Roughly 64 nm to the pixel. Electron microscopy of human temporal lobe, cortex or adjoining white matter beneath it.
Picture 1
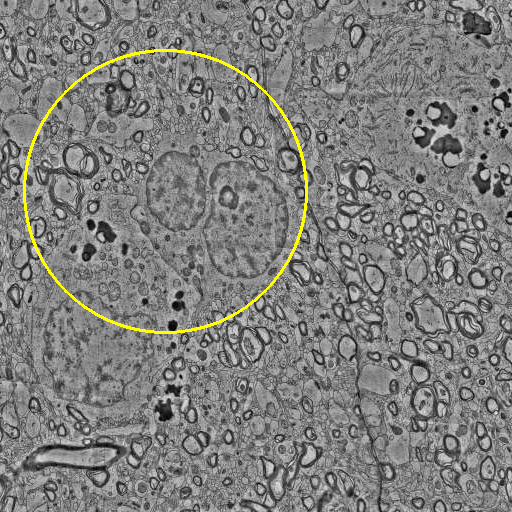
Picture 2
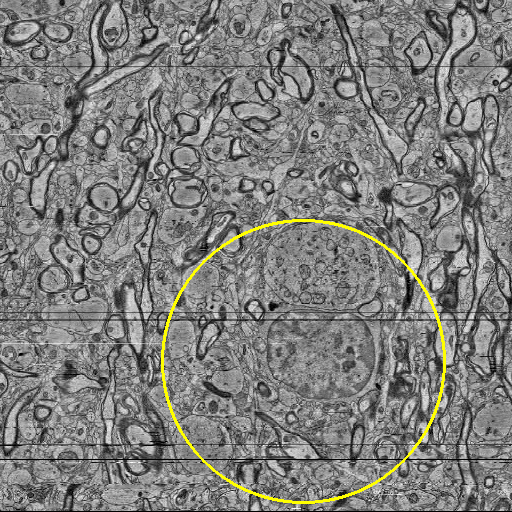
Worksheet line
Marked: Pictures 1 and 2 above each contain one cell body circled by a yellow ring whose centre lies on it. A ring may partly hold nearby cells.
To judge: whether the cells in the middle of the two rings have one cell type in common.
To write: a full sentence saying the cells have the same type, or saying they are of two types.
The cells in the middle of the rings in Picture 1 and Picture 2 have the same type.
